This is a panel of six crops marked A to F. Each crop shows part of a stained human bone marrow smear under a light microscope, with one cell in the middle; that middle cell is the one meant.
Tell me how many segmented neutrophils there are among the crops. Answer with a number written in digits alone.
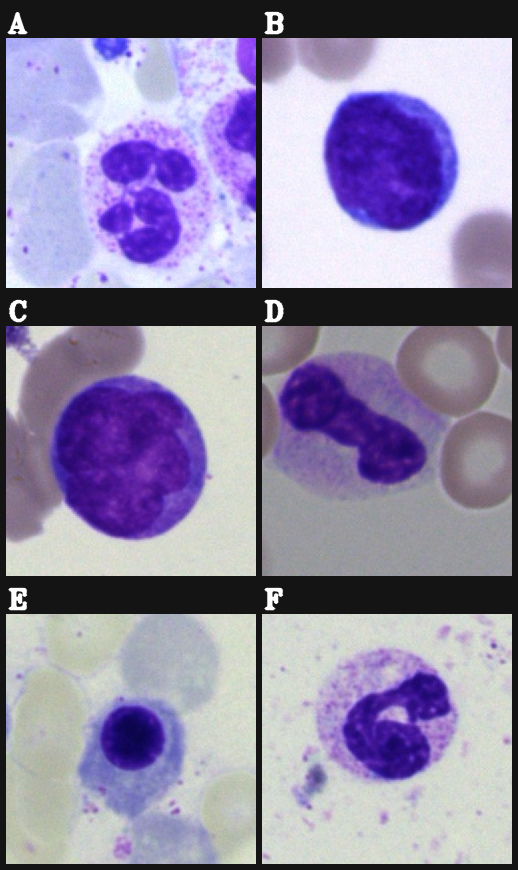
2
